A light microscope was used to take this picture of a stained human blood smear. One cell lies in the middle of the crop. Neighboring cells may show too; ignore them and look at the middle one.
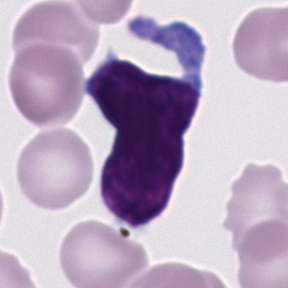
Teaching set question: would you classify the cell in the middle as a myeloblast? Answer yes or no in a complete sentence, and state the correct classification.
No, the cell at the centre is identified as a typical lymphocyte, not as a myeloblast.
